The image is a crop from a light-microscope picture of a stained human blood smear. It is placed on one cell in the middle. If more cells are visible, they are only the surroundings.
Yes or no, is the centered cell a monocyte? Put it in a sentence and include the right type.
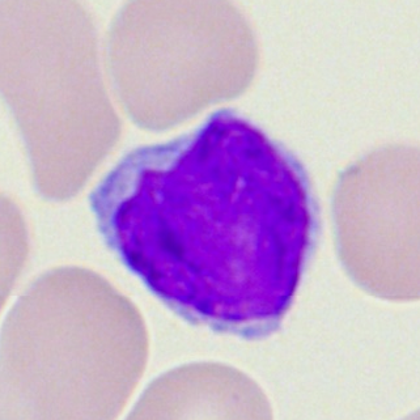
No, the cell in the middle is categorised as a lymphocyte, not a monocyte.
